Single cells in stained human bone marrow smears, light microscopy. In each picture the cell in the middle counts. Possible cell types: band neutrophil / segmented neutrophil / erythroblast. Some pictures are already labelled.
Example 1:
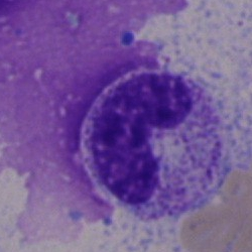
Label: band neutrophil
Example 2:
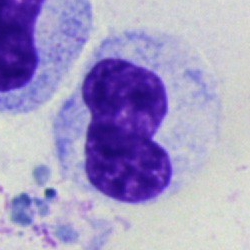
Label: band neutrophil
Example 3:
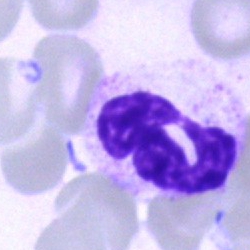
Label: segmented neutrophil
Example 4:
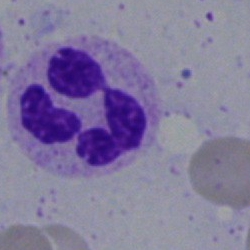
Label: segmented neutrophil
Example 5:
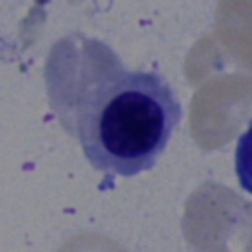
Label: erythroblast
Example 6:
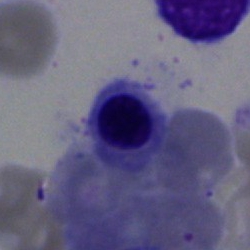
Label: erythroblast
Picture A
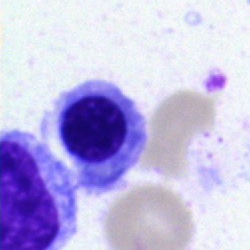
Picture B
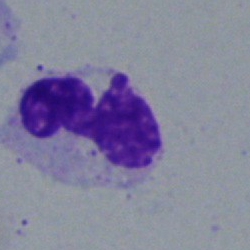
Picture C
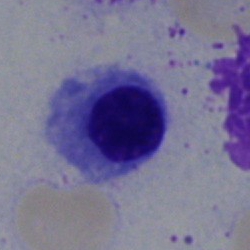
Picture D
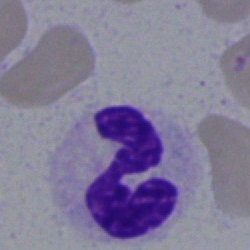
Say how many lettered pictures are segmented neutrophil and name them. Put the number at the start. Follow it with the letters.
2: B, D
